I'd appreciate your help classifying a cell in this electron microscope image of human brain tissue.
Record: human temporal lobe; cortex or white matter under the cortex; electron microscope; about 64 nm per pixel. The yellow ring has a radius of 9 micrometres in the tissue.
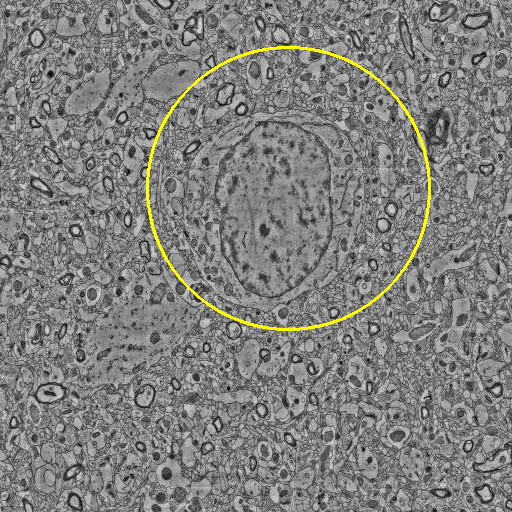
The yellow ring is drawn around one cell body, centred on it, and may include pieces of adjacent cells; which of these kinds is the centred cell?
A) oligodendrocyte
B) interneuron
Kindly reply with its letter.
B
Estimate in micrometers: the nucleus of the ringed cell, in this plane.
Roughly 11 by 8 micrometres is the size of the nucleus in this plane.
